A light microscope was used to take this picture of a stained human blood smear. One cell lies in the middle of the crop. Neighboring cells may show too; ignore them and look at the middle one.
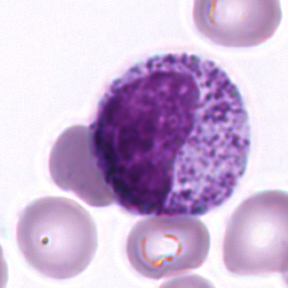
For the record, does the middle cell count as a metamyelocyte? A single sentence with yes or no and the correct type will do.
Yes, the crop is centred on a metamyelocyte.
